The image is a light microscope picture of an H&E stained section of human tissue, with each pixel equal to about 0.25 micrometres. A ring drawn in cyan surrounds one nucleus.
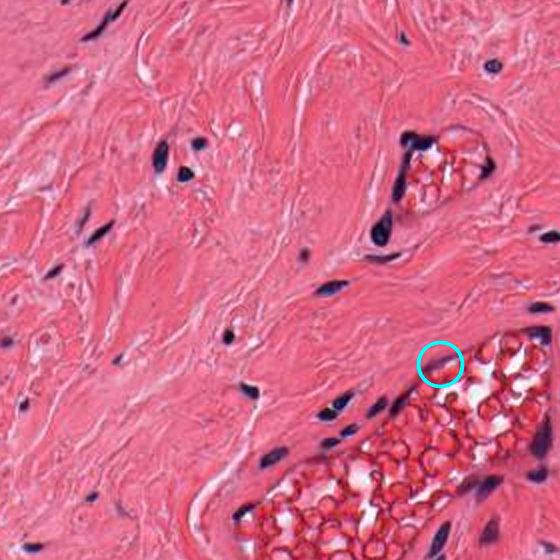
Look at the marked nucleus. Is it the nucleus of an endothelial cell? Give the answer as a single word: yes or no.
yes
